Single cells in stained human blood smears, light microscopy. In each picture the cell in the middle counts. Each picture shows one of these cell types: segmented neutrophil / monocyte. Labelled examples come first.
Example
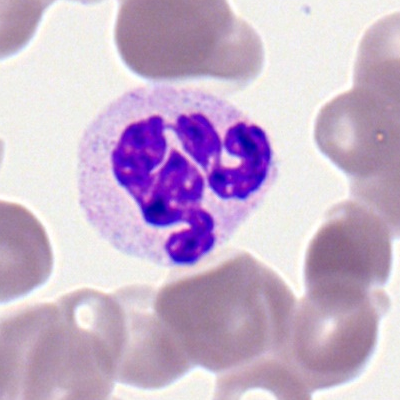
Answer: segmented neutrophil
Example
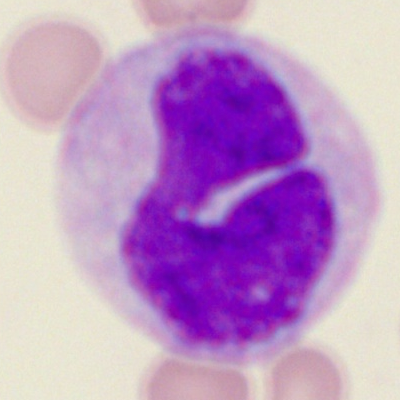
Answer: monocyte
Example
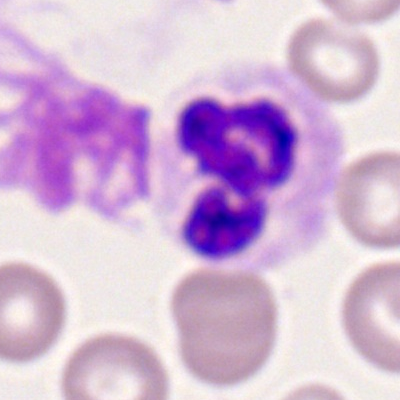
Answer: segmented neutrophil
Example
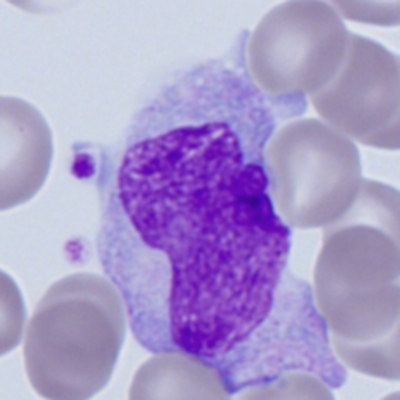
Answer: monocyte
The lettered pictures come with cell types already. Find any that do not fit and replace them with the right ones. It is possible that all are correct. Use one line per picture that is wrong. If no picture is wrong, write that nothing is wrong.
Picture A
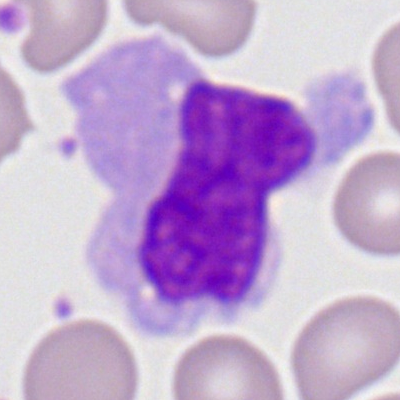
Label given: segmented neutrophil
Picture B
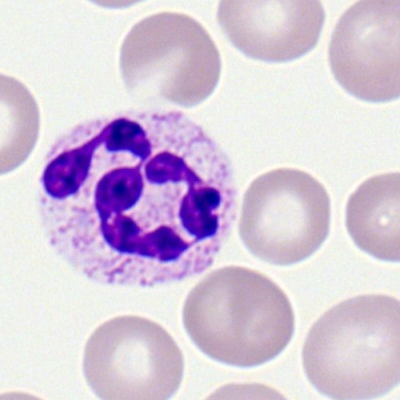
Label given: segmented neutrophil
A: monocyte, not segmented neutrophil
